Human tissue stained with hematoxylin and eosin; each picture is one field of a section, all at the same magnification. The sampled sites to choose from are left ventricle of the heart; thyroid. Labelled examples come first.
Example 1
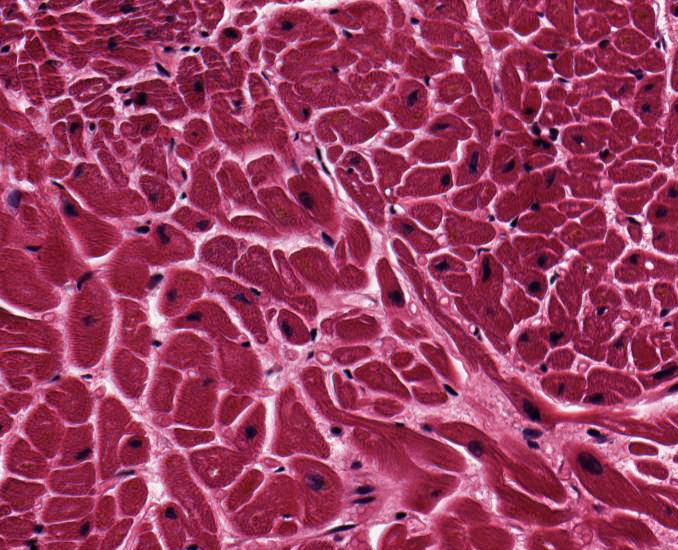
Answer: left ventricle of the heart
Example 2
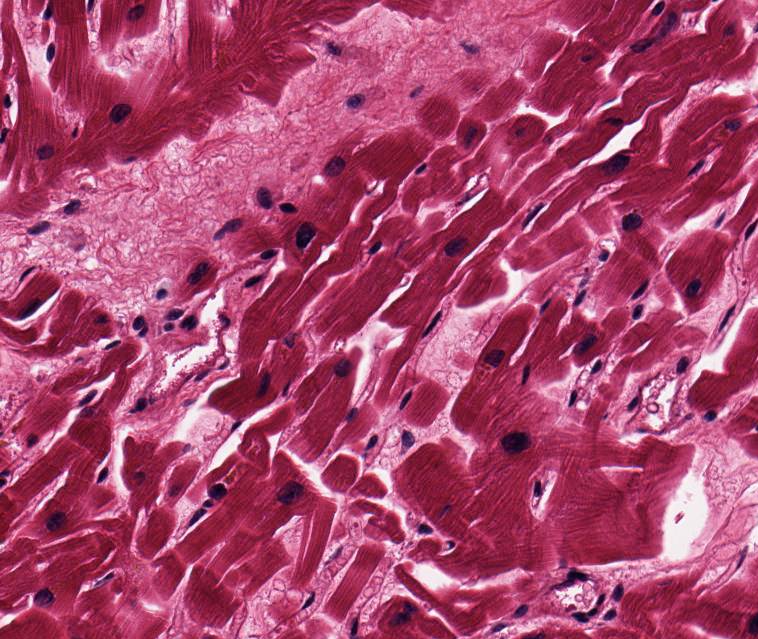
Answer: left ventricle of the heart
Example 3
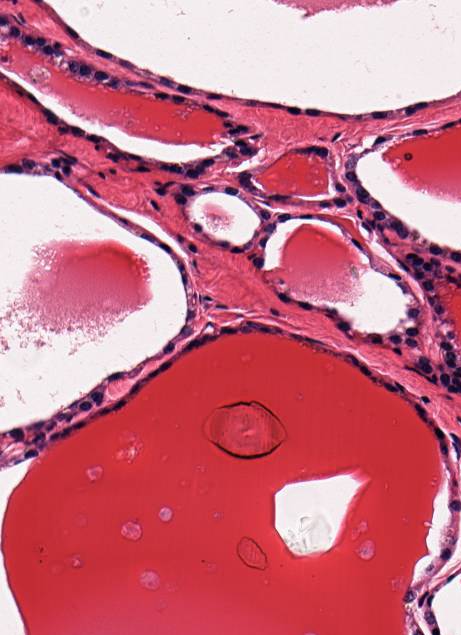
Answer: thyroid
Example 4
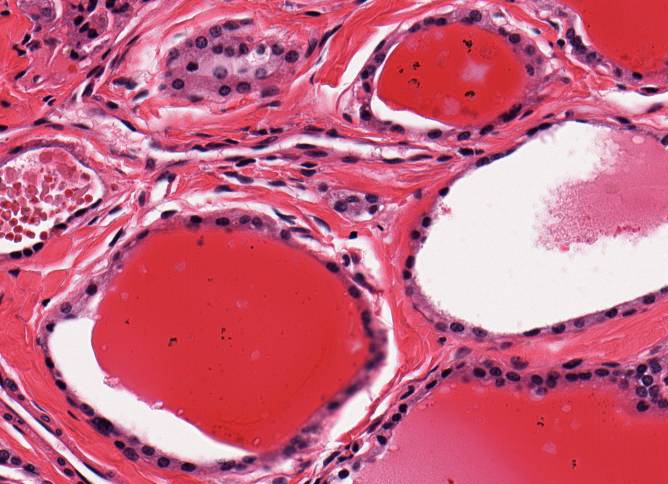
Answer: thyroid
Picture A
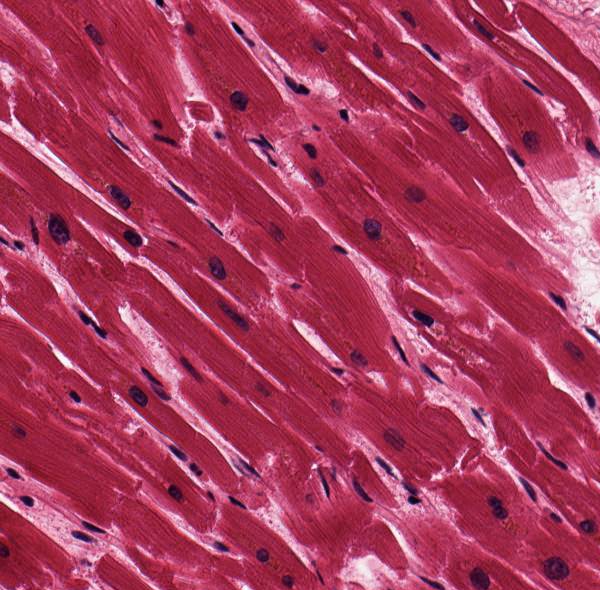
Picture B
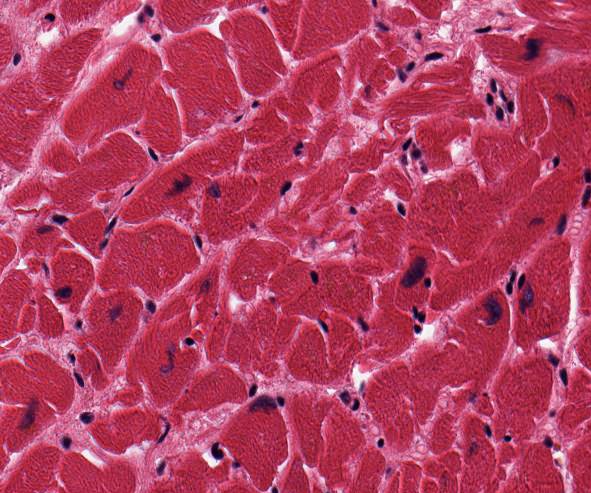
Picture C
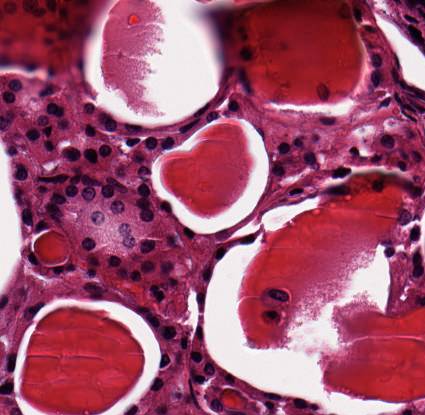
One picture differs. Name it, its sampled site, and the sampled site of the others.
C: thyroid; all the others: left ventricle of the heart.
